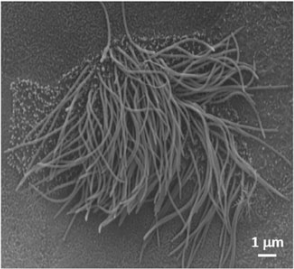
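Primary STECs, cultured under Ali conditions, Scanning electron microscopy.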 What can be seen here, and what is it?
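A large bundle of long, slender, cylindrical cilia of uniform width rises from one region of the surface and fans outward, many curving and overlapping one another. At their base the cilia are densely packed, while toward their tips they spread apart. The surrounding cell surface is smooth and flat, dotted with very small bumps, and lacks other long projections. No cell borders are clearly seen at this magnification.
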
